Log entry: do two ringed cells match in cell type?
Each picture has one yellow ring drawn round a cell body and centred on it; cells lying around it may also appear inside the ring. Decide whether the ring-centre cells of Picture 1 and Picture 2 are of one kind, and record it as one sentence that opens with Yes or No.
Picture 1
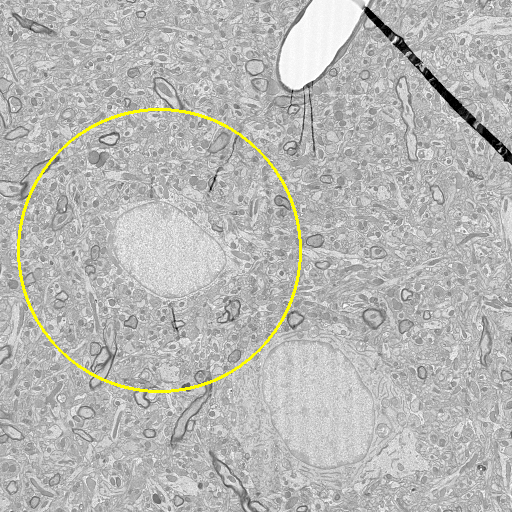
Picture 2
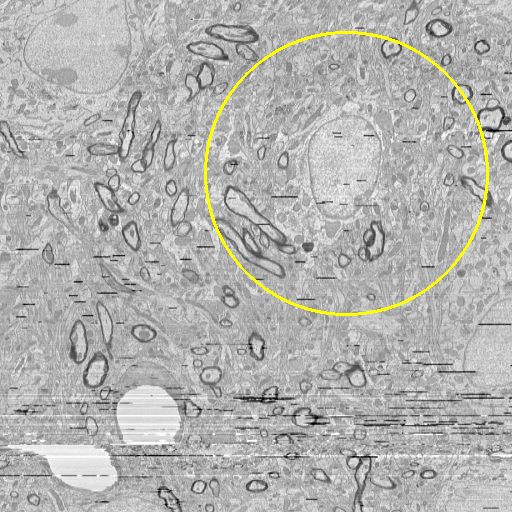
Yes, the cells at the ring centres of the two pictures belong to one kind.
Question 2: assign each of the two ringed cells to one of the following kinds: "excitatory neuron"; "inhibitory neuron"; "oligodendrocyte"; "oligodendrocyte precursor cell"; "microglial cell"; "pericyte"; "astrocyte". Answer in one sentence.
Both rings mark an astrocyte, one in each picture.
